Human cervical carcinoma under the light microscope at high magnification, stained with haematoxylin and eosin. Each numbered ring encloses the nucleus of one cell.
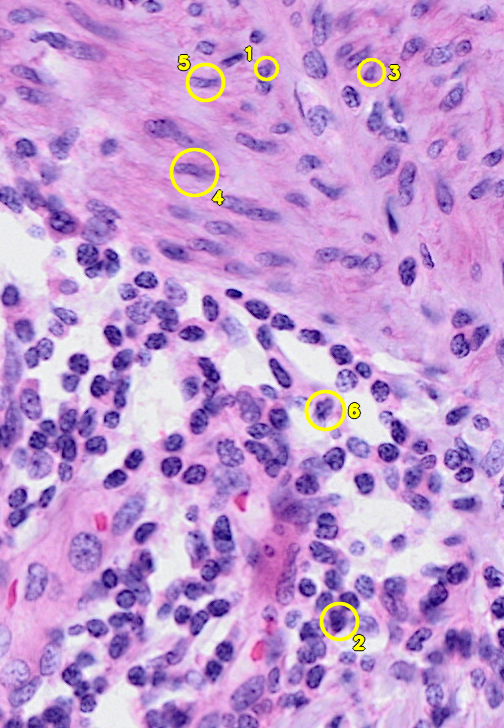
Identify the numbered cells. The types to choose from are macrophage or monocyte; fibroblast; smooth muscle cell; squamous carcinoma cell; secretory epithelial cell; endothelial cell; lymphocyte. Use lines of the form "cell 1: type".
cell 1: smooth muscle cell
cell 2: lymphocyte
cell 3: smooth muscle cell
cell 4: smooth muscle cell
cell 5: smooth muscle cell
cell 6: lymphocyte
